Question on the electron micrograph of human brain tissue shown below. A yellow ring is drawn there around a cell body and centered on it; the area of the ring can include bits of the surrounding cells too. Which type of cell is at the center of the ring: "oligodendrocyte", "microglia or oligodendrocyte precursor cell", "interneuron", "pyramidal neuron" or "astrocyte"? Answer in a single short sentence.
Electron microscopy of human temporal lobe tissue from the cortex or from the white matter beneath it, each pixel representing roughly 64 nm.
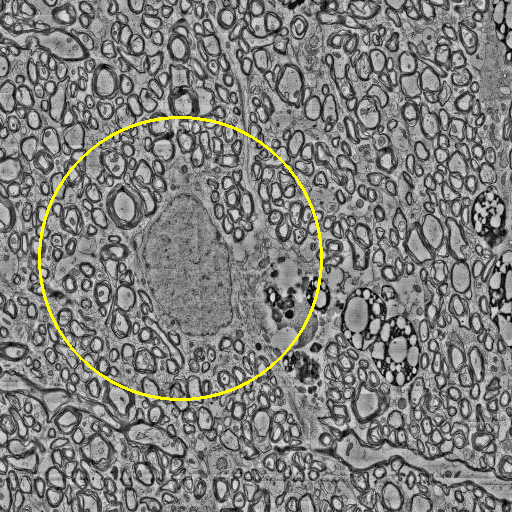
The ring is centered on an astrocyte.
